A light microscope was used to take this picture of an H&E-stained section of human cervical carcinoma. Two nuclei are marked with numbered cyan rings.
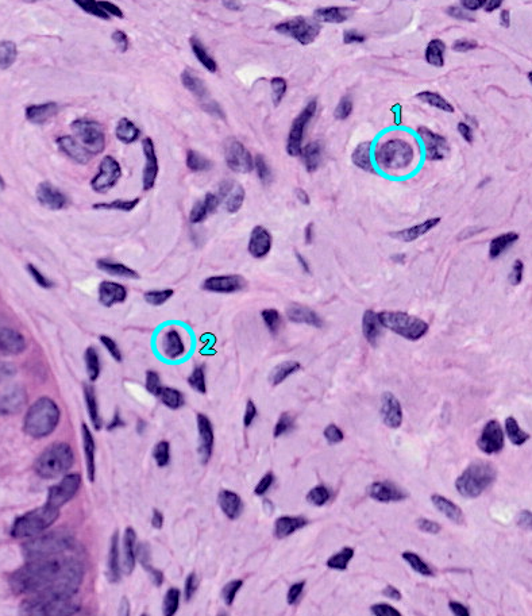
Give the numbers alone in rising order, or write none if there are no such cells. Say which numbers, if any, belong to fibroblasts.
2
